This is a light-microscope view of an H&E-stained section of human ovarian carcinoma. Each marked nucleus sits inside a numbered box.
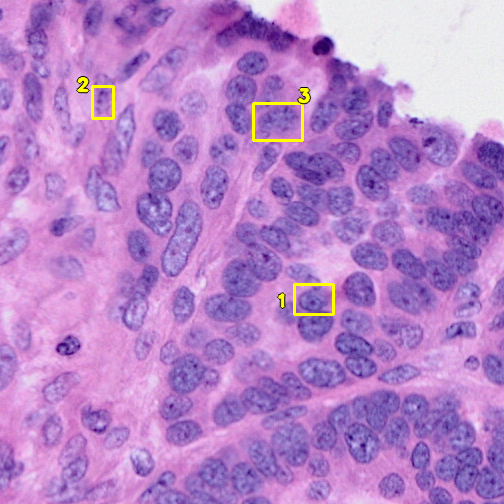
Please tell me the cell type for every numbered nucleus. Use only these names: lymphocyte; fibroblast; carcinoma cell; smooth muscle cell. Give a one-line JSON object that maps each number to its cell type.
{"1": "carcinoma cell", "2": "fibroblast", "3": "carcinoma cell"}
